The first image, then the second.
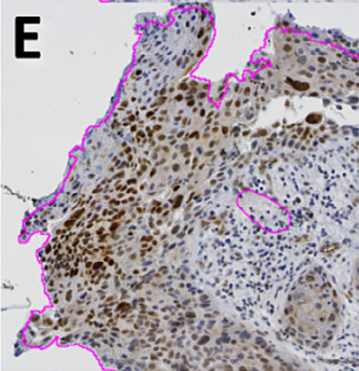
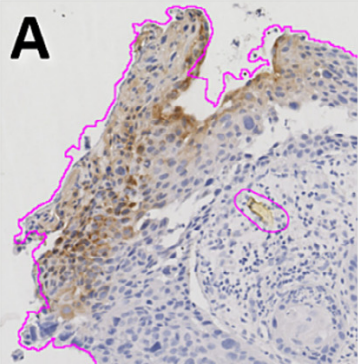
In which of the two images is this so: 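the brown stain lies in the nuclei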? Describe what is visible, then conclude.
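The first image. First image: brown stain is confined to compact round and oval nuclei, with pale cell bodies around them.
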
